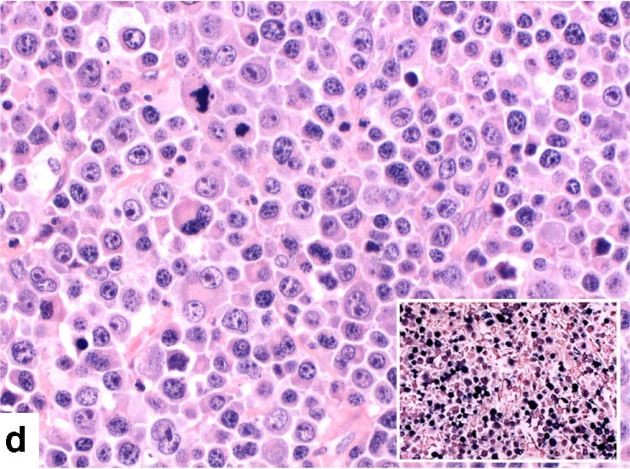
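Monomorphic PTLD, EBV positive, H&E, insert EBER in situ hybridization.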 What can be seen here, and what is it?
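Sheets of large tumor cells with plasmablastic features fill the field. They have moderate amounts of pink to lilac cytoplasm and large round nuclei, often placed off-centre, with vesicular chromatin and prominent nucleoli. Scattered small dark fragments and compact nuclei lie between the cells. Thin pink strands of stroma run through parts of the field. The inset at lower magnification shows many dark-stained nuclei scattered across a pink background.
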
